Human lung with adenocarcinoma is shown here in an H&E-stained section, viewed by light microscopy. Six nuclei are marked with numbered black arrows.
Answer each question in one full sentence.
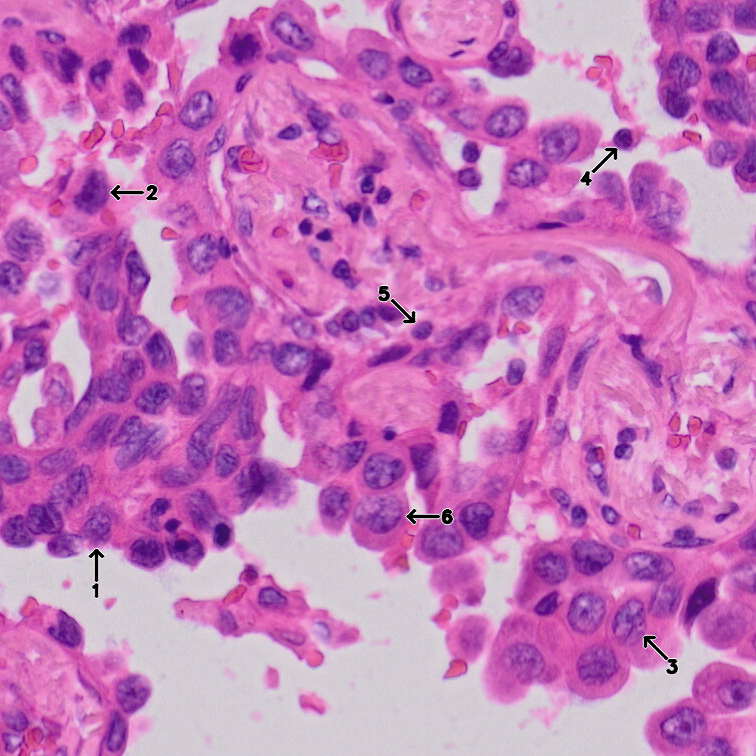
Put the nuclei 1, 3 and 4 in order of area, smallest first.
From smallest to largest, the order is 4, 1, 3.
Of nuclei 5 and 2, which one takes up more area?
Nucleus 2 covers more area, about 4 times as much as nucleus 5.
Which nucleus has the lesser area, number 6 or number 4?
Number 4 is smaller, since number 6 takes up about 4 times as much area.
